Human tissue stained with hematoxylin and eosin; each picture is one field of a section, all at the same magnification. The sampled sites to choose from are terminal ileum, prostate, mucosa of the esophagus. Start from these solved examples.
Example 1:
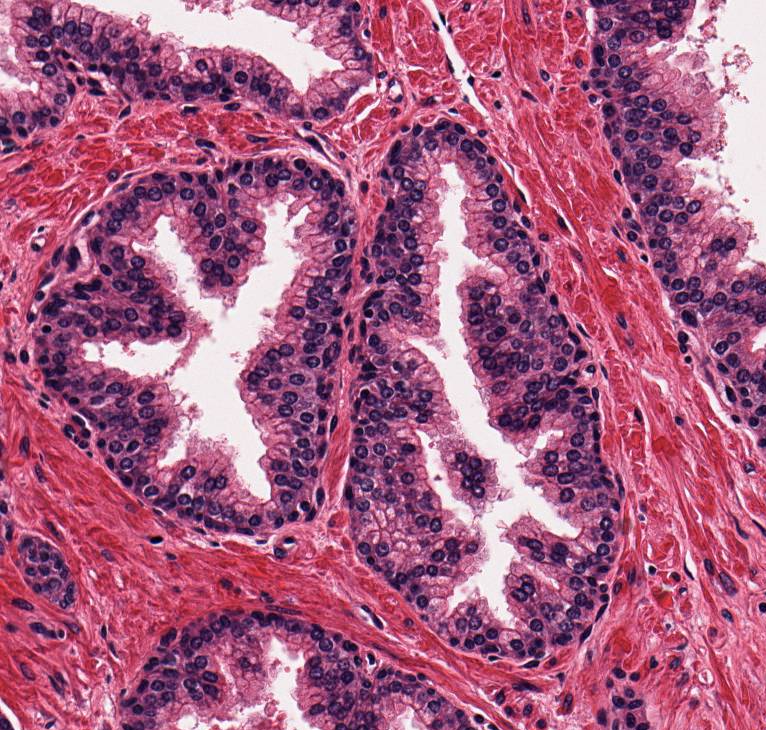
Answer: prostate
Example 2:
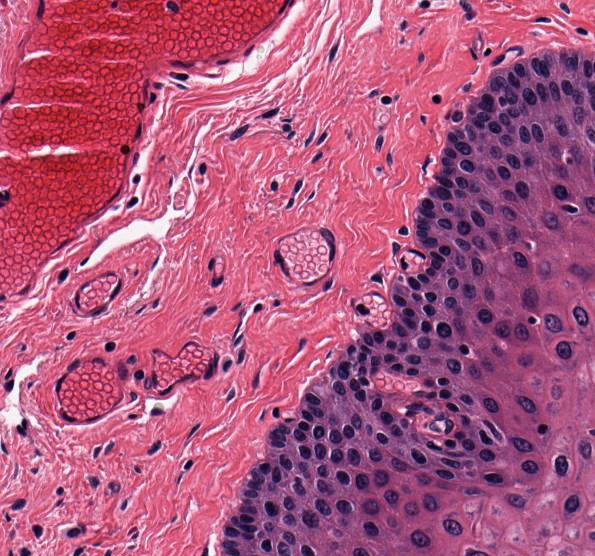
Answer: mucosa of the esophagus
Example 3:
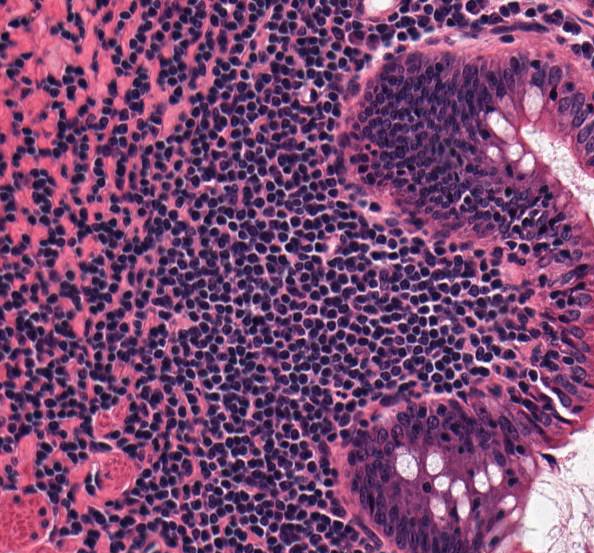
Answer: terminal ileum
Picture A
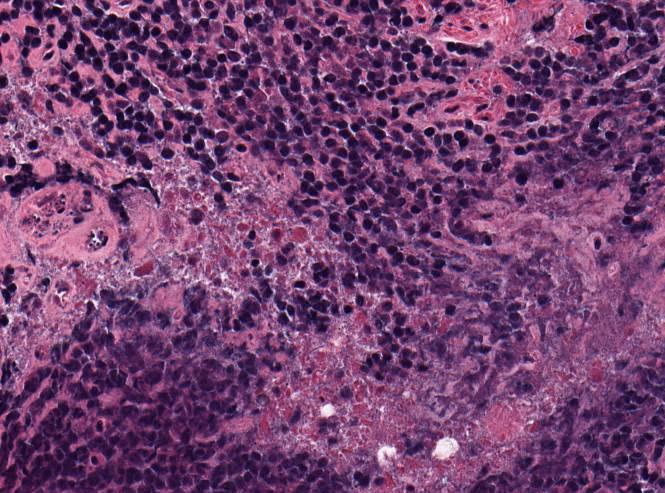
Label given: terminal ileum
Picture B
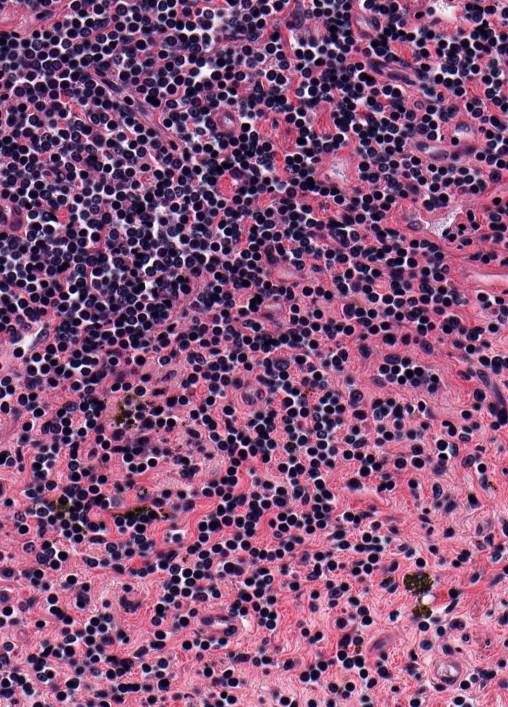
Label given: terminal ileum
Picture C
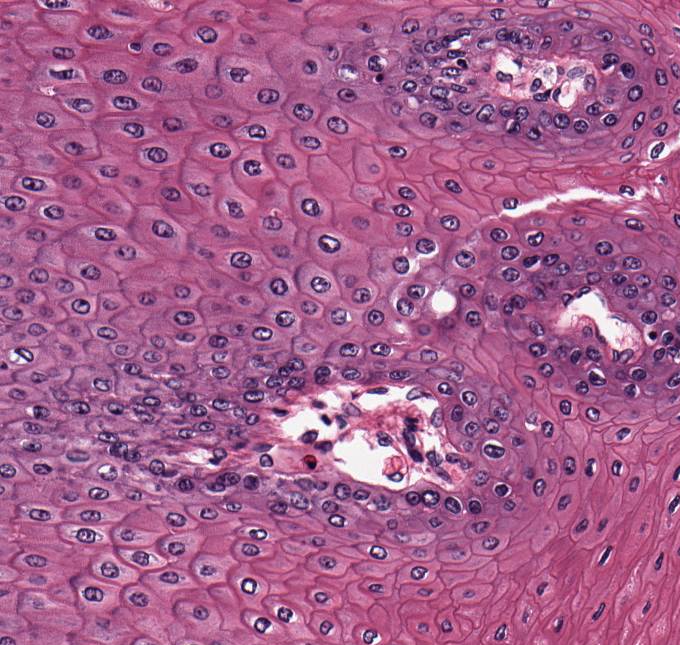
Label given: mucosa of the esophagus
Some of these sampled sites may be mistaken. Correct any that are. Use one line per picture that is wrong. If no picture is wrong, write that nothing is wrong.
None of the labels needs changing.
